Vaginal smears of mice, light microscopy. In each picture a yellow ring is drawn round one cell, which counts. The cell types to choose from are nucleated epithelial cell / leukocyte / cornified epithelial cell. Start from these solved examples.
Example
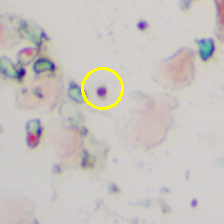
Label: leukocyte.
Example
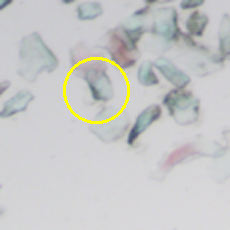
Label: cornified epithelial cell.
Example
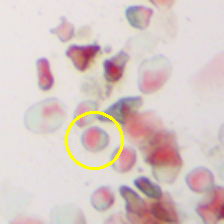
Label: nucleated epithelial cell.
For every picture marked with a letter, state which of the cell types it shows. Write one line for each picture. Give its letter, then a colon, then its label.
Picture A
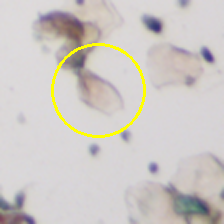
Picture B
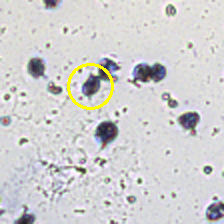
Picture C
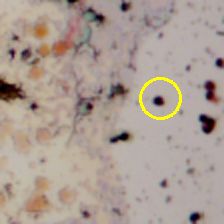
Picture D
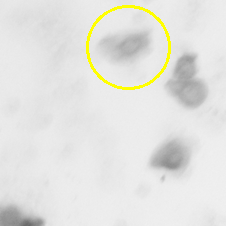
A: cornified epithelial cell.
B: leukocyte.
C: leukocyte.
D: nucleated epithelial cell.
